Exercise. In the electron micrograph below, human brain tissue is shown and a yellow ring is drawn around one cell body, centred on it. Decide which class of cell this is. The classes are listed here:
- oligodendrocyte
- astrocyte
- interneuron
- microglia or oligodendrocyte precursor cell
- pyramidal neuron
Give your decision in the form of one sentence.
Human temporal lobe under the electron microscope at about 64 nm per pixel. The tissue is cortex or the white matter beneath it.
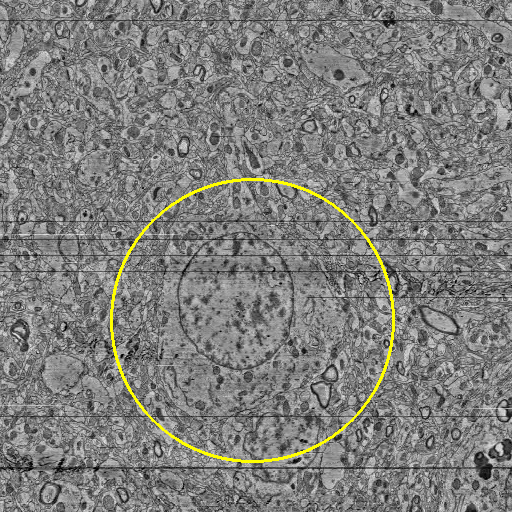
The cell body marked by the ring belongs to a pyramidal neuron.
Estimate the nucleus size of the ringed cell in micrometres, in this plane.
About 9 by 8 micrometers, in this plane.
